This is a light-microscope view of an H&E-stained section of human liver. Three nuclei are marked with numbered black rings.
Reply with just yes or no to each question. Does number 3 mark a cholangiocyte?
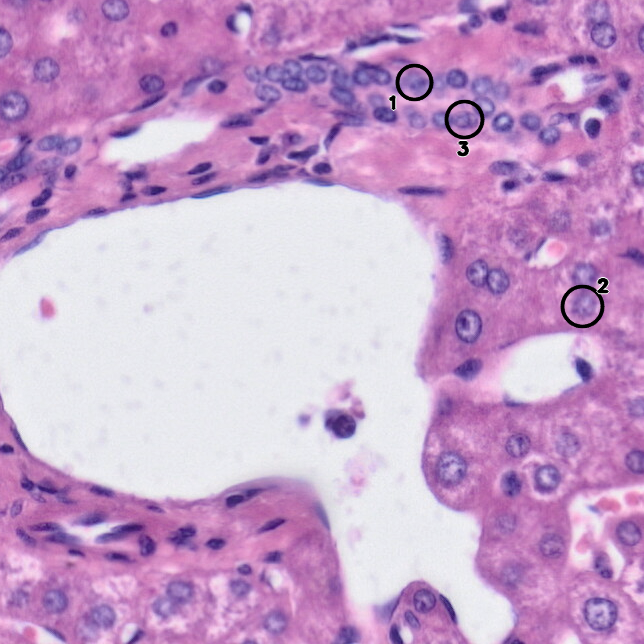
yes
